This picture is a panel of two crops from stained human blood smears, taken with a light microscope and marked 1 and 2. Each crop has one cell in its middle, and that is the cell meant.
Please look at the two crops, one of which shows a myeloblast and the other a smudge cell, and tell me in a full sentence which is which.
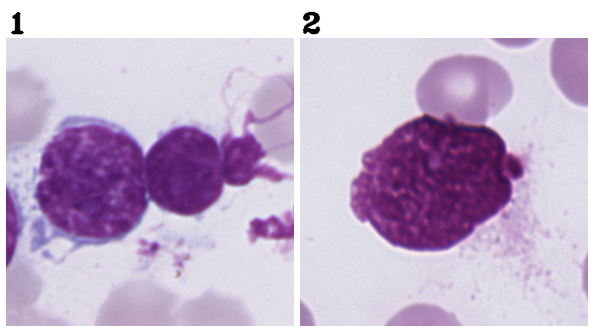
Crop 1 and crop 2 are a myeloblast and a smudge cell, in that order.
